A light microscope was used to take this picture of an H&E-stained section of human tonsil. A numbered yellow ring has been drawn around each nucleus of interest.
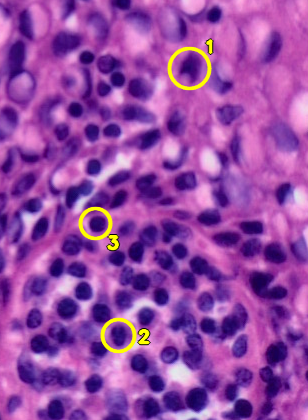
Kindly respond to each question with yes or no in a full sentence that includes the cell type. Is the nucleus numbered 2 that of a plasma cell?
Yes, the cell that the number 2 labels is a plasma cell.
